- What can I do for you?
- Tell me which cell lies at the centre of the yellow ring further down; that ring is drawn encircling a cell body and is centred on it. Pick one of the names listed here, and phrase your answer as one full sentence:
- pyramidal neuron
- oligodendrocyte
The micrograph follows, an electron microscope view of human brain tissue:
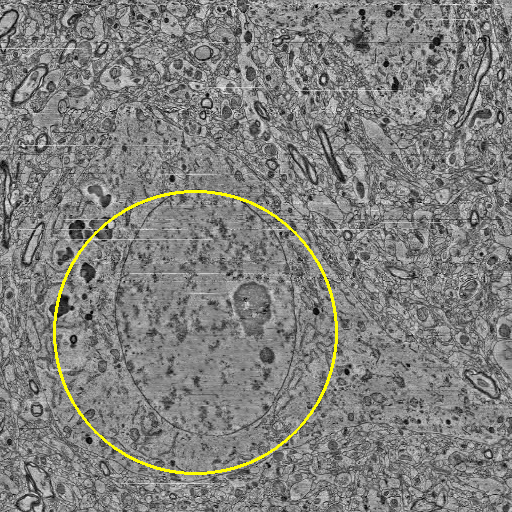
The cell whose body lies at the centre of the yellow ring is a pyramidal neuron.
